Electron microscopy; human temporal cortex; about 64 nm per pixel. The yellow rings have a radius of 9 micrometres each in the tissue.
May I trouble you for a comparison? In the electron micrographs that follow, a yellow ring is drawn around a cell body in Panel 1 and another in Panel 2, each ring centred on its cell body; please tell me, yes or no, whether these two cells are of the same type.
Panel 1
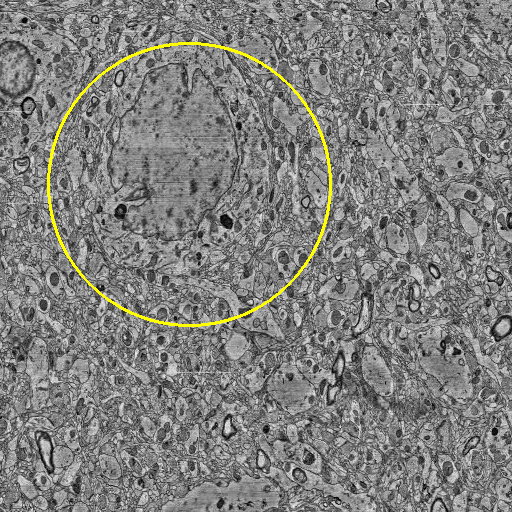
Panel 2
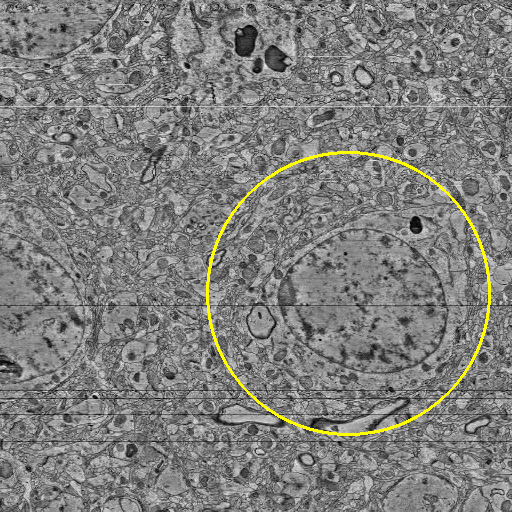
yes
